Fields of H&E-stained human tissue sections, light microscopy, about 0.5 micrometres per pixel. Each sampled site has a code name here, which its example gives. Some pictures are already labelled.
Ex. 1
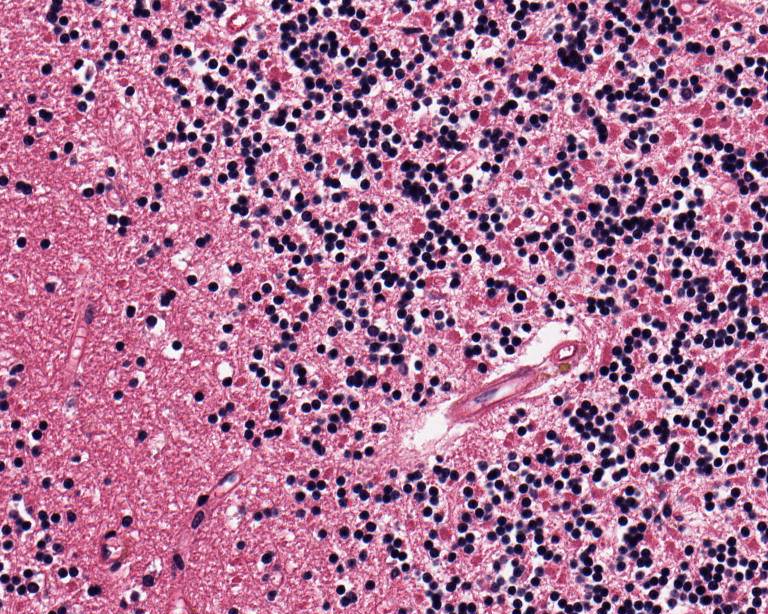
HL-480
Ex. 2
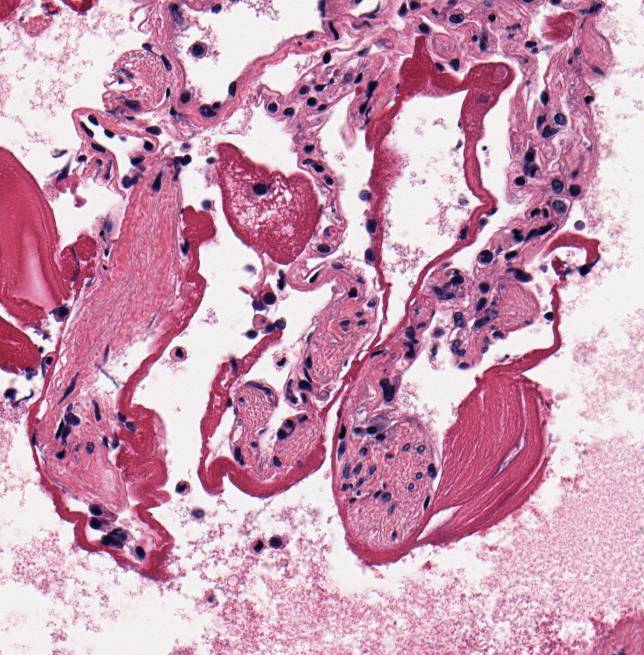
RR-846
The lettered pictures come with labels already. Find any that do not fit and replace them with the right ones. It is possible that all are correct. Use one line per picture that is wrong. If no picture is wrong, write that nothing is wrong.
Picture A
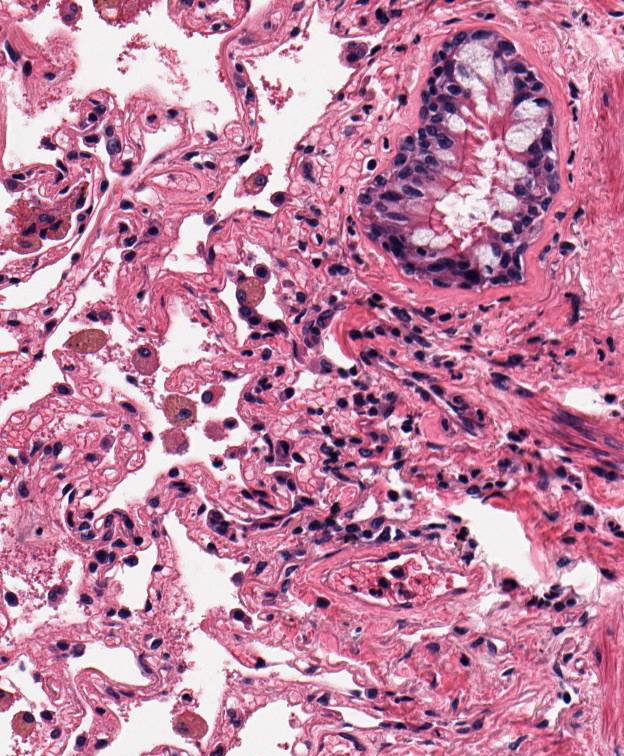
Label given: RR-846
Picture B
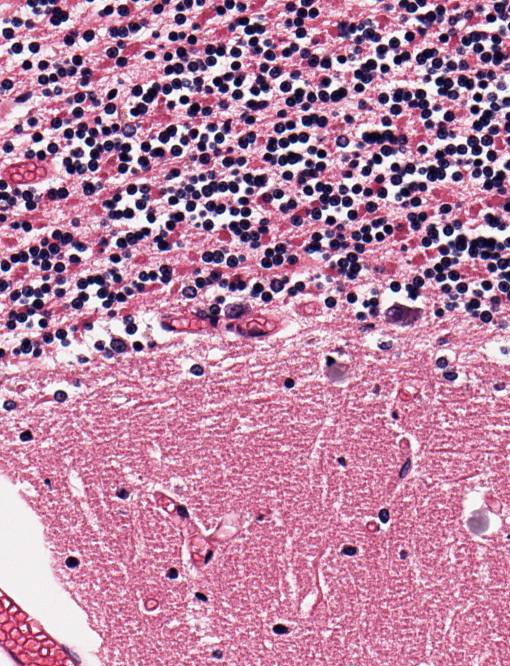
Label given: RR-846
B is labelled RR-846; correct label: HL-480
